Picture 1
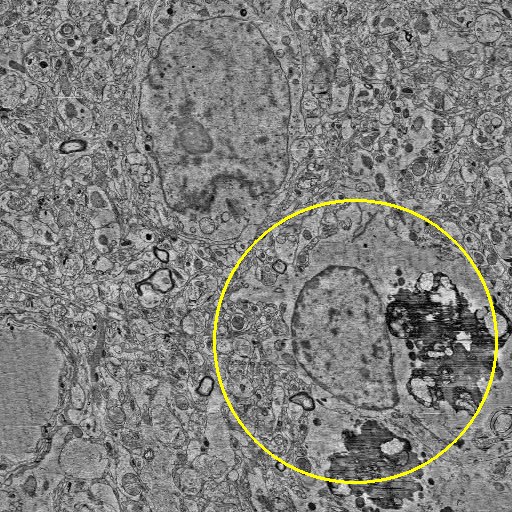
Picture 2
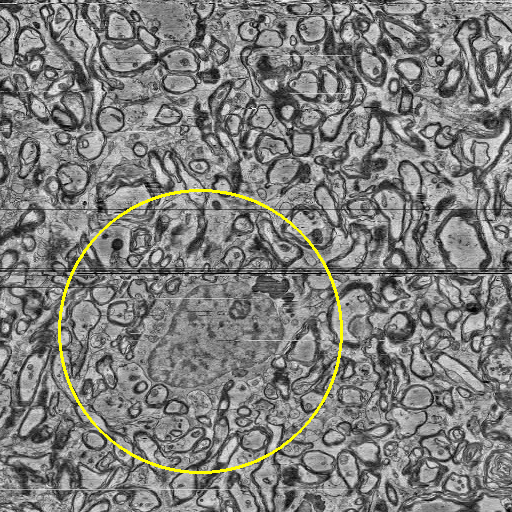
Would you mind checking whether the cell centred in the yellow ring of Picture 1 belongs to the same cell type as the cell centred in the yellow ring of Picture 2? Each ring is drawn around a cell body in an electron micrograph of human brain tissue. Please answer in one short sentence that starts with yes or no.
No, the two cells are of two types.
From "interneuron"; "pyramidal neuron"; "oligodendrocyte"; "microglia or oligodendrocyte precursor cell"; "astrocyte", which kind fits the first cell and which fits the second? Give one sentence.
The cell marked in the first picture is an astrocyte, and the one marked in the second is an oligodendrocyte.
